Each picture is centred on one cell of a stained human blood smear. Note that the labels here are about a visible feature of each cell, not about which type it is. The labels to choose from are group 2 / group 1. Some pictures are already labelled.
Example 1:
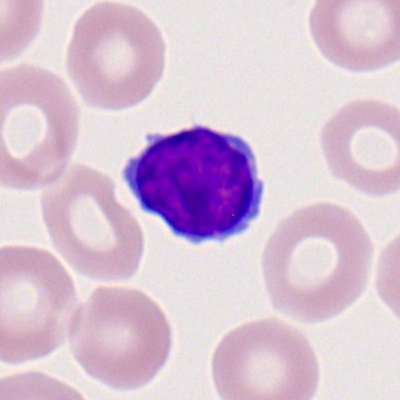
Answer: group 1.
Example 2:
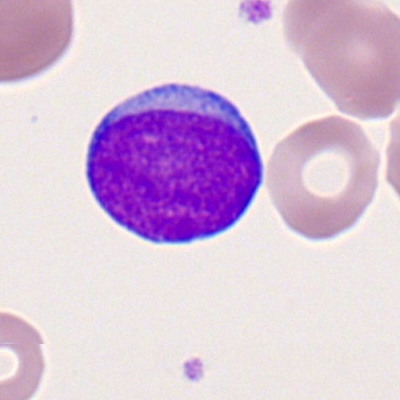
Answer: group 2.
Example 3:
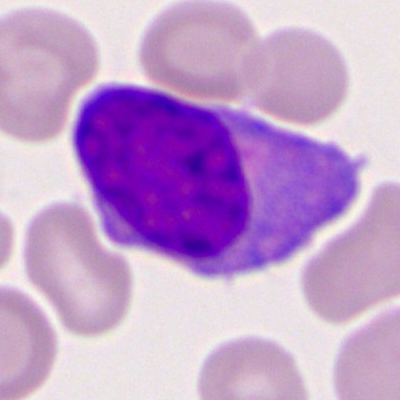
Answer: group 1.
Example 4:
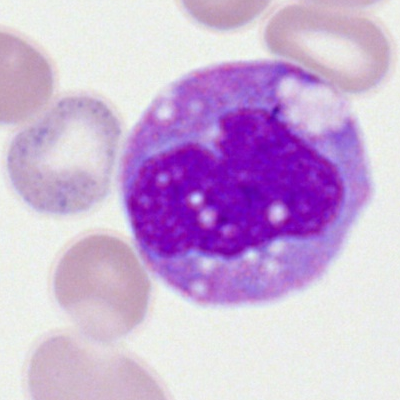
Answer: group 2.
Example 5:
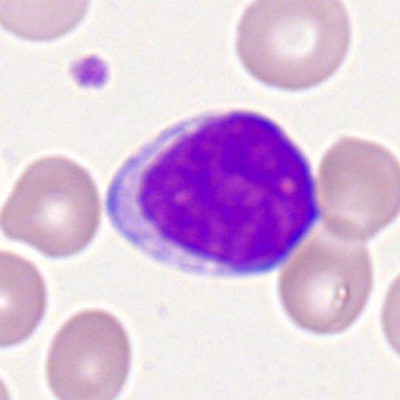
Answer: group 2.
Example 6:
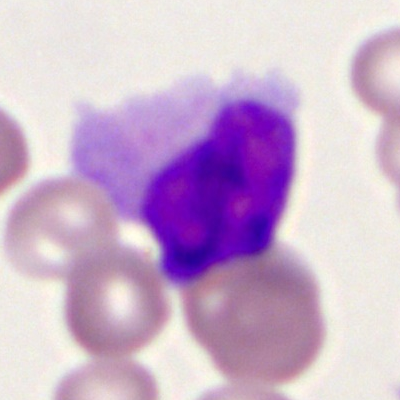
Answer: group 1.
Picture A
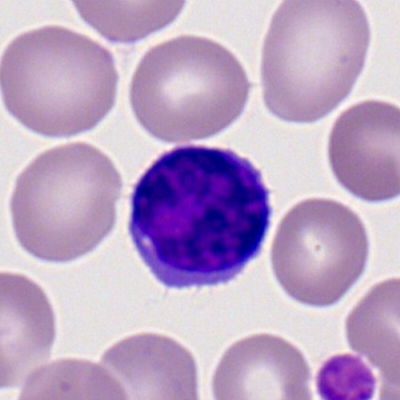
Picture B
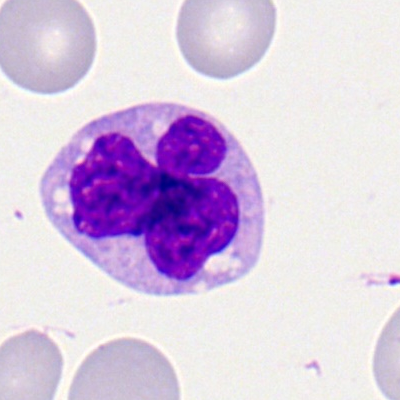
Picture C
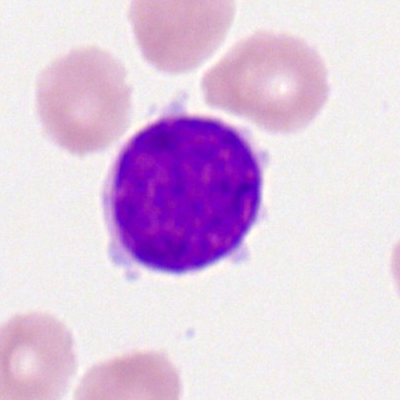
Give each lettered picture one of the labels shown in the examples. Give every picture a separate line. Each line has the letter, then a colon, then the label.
A: group 1.
B: group 2.
C: group 1.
